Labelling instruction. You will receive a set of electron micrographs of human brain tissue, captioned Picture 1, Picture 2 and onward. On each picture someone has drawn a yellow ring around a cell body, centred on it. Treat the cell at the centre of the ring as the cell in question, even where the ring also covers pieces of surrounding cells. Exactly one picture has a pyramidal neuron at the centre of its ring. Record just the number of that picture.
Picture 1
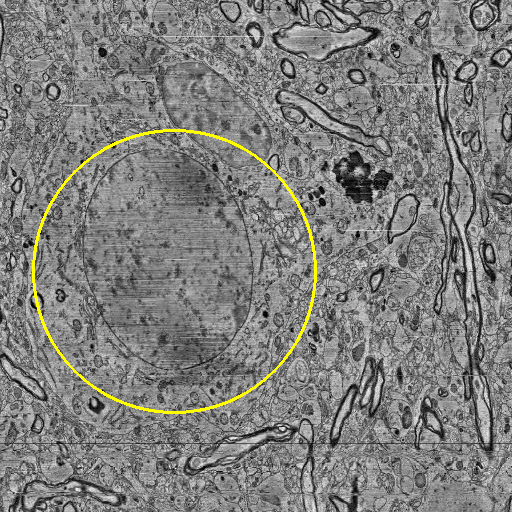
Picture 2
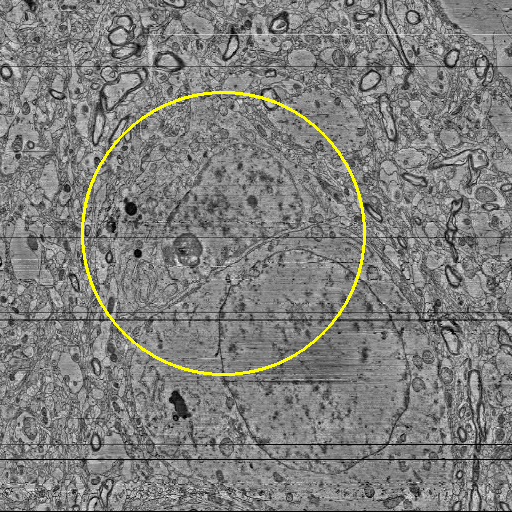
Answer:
1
